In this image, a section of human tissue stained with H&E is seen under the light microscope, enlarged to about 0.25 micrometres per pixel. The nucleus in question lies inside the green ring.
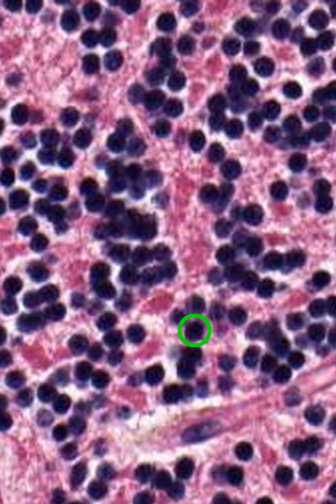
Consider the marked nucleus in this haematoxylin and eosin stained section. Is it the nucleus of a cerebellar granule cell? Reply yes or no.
yes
